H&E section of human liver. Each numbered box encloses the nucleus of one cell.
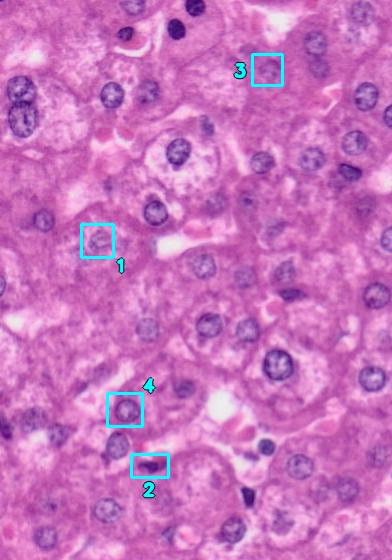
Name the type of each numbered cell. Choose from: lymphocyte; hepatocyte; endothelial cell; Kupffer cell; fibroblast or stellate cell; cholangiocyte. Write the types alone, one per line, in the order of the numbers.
hepatocyte
endothelial cell
hepatocyte
hepatocyte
